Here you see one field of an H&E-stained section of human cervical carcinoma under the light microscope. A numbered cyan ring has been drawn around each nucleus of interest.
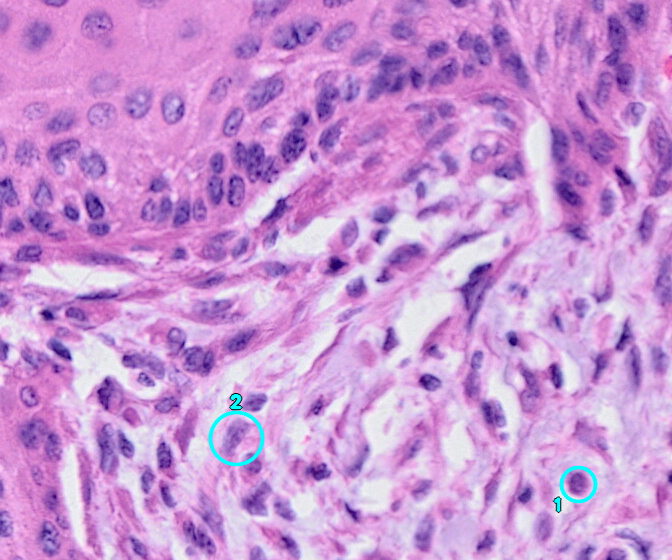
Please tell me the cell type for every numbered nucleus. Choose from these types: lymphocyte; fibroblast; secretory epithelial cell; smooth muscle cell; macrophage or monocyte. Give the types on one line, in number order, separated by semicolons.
macrophage or monocyte; fibroblast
